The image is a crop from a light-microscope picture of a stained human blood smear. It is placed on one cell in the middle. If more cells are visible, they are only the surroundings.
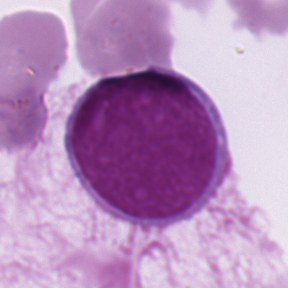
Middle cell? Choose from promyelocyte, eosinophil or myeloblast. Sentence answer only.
The single cell at the center of the crop is a myeloblast.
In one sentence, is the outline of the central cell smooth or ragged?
Smooth outline, no projections: that is the whole story of its edge.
